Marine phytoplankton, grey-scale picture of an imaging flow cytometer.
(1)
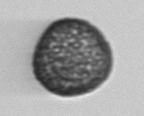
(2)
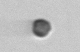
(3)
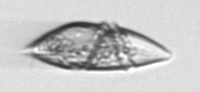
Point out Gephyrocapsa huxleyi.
That is picture 2.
